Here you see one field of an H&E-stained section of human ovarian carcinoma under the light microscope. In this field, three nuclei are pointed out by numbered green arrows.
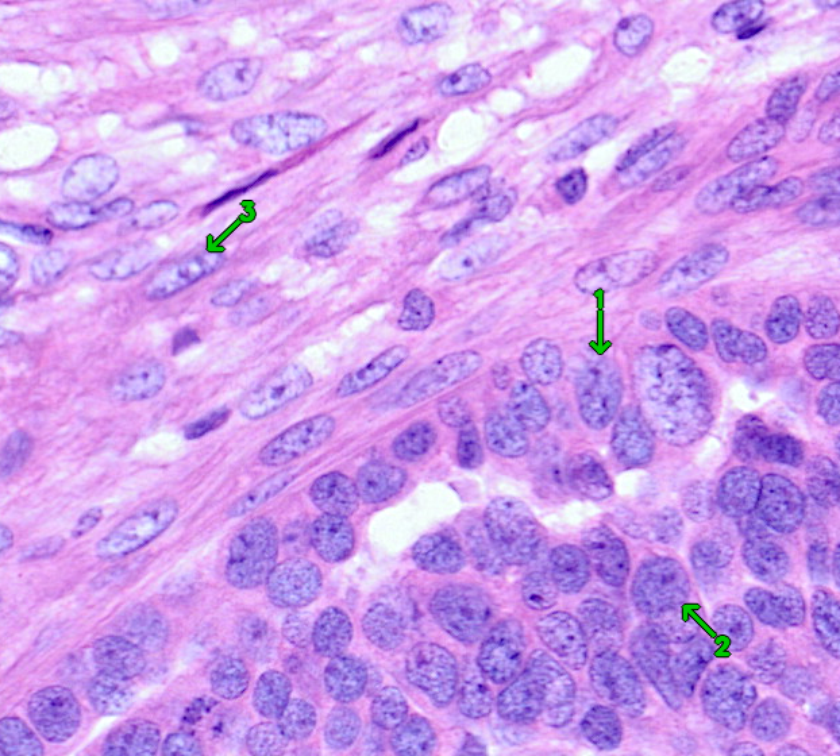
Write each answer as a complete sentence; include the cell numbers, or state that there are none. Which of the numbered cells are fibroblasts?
Of the cells bearing numbers, the only one that is a fibroblast is cell 3.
